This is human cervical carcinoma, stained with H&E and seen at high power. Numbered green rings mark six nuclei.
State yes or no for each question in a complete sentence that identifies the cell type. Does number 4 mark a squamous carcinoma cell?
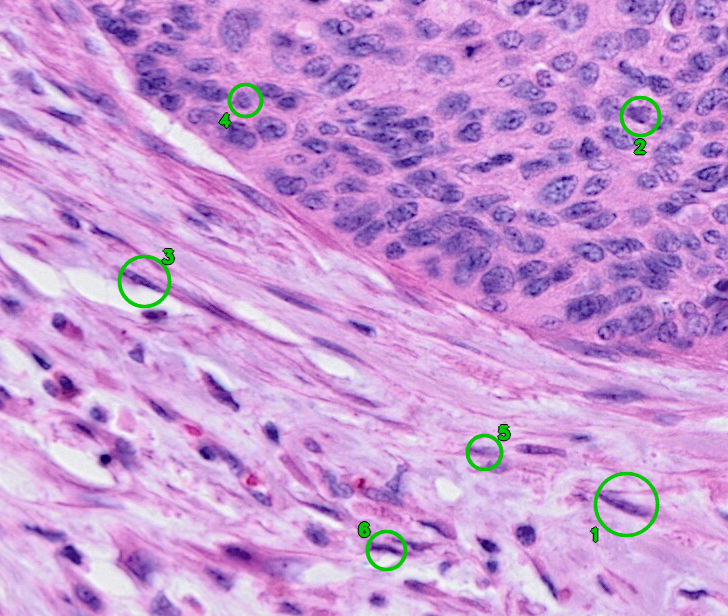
Yes, the numbered cell 4 is a squamous carcinoma cell.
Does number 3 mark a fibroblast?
Yes, that one, number 3, is a fibroblast.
